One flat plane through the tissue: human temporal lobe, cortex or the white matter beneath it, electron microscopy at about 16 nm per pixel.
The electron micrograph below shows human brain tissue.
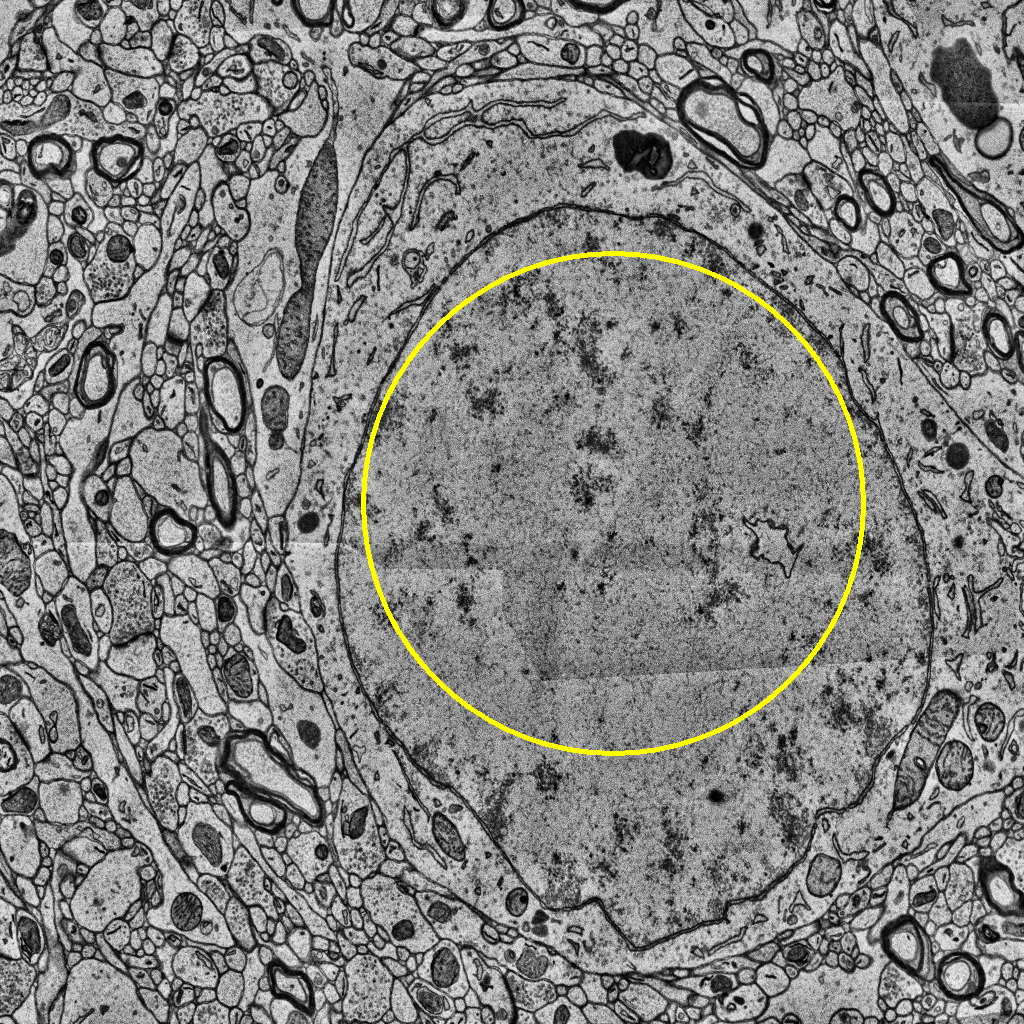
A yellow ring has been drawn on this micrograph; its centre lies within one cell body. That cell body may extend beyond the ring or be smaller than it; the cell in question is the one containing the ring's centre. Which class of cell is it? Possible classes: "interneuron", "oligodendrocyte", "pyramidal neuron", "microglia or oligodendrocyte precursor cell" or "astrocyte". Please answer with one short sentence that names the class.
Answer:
In the centre of the ring sits a pyramidal neuron.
